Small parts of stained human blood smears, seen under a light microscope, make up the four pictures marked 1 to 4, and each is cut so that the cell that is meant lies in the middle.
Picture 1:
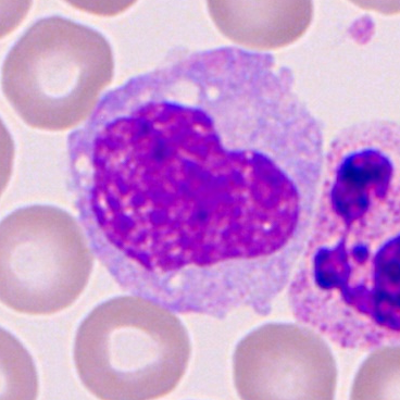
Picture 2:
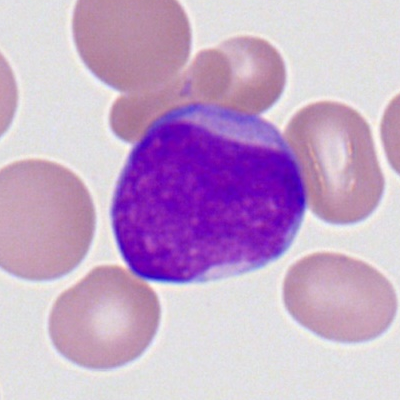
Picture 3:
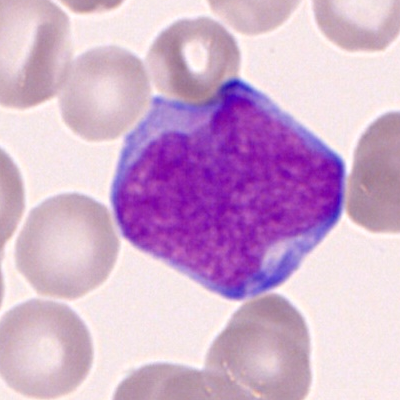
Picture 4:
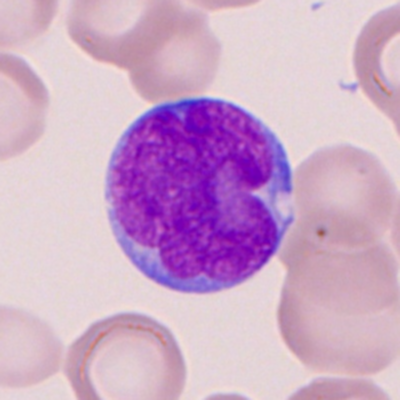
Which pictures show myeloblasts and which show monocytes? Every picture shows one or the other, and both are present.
1: monocyte
2: myeloblast
3: myeloblast
4: myeloblast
